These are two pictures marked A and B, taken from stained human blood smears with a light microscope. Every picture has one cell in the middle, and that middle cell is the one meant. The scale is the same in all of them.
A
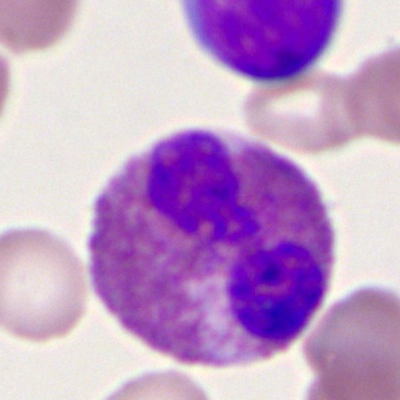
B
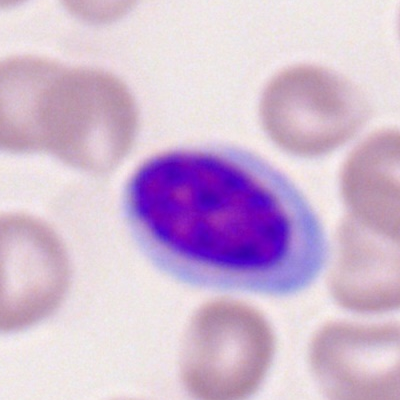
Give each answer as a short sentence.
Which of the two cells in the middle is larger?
Larger is the cell in crop A, at roughly 2 times the area of the other.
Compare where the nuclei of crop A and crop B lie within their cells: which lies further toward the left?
Seen within its cell, the nucleus in crop B lies further toward the left.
